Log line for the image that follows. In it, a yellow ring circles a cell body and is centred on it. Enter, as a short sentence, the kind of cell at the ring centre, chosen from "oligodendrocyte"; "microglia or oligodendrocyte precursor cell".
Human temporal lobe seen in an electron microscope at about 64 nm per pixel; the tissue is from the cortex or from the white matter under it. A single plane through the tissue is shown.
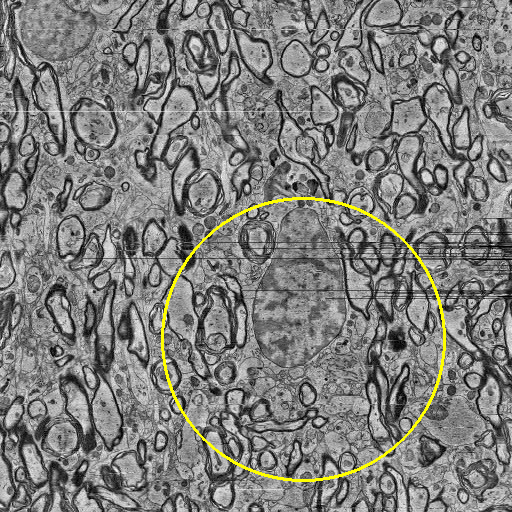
The ring centre is occupied by a microglial cell or oligodendrocyte precursor cell.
